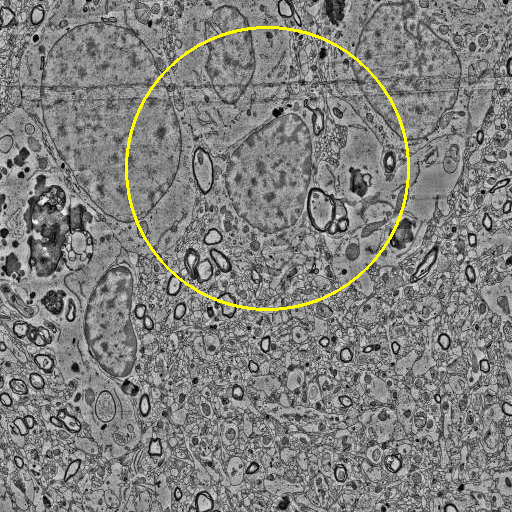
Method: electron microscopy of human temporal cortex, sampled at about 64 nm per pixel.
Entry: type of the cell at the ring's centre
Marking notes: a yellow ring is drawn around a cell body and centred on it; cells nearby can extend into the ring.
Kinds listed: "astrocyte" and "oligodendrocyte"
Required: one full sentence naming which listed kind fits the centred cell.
My entry names an oligodendrocyte as the cell whose body the yellow ring centres on.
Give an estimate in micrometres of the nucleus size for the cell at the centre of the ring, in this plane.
In this plane, roughly 8 by 6 micrometres.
